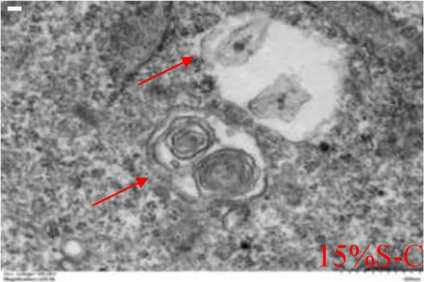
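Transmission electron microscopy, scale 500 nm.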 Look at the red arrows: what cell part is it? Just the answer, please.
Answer: autophagic lysosomes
